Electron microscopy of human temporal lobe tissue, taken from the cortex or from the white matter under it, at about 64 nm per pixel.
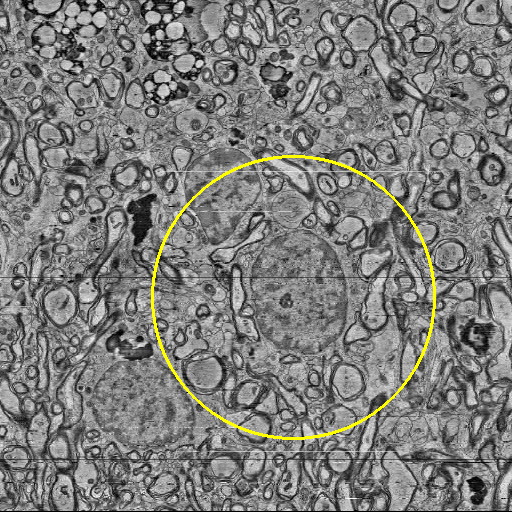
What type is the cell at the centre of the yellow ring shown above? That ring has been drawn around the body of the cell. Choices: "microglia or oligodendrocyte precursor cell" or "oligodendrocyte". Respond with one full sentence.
My answer is that an oligodendrocyte lies at the centre of the yellow ring above.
